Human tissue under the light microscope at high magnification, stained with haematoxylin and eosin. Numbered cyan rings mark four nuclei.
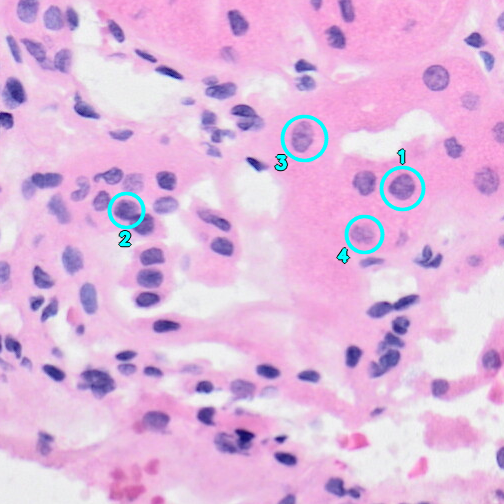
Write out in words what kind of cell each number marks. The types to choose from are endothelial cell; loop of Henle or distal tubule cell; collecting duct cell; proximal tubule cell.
Cell 1 is a proximal tubule cell, cell 2 is a collecting duct cell, cell 3 is a proximal tubule cell and cell 4 is a proximal tubule cell.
